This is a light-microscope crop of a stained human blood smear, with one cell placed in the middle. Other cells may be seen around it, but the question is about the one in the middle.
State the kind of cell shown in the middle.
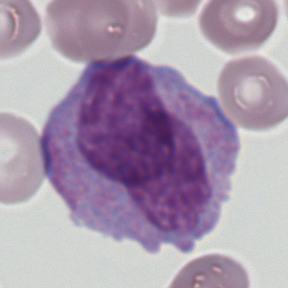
atypical promyelocyte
